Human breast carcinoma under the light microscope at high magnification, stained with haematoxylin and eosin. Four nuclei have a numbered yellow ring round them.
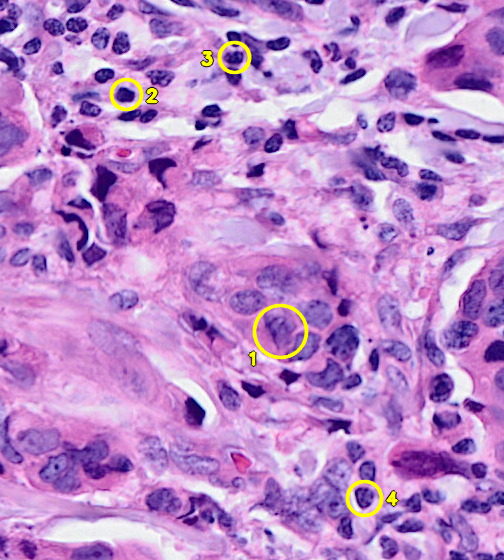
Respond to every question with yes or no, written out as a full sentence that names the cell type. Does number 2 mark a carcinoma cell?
No, cell 2 is not a carcinoma cell, but is instead a lymphocyte.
